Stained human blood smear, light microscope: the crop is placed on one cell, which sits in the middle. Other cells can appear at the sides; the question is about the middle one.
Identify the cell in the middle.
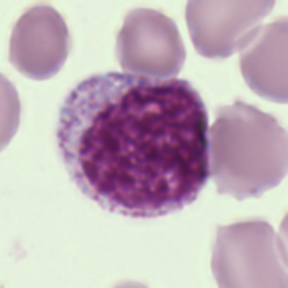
metamyelocyte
